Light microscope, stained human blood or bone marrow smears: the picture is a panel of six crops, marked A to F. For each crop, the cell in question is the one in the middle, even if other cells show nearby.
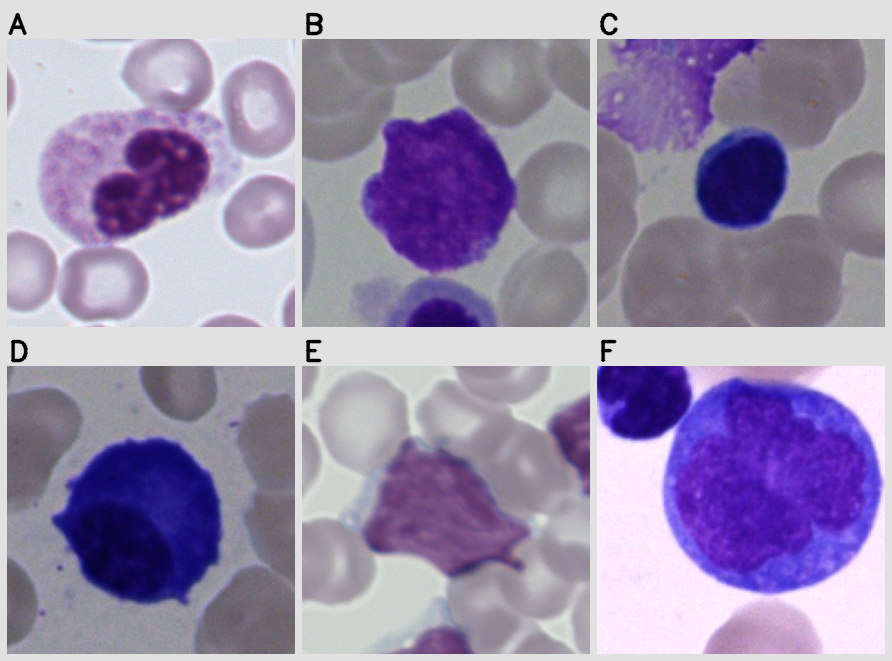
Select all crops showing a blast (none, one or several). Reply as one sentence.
In this set, crops B and F show blasts.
